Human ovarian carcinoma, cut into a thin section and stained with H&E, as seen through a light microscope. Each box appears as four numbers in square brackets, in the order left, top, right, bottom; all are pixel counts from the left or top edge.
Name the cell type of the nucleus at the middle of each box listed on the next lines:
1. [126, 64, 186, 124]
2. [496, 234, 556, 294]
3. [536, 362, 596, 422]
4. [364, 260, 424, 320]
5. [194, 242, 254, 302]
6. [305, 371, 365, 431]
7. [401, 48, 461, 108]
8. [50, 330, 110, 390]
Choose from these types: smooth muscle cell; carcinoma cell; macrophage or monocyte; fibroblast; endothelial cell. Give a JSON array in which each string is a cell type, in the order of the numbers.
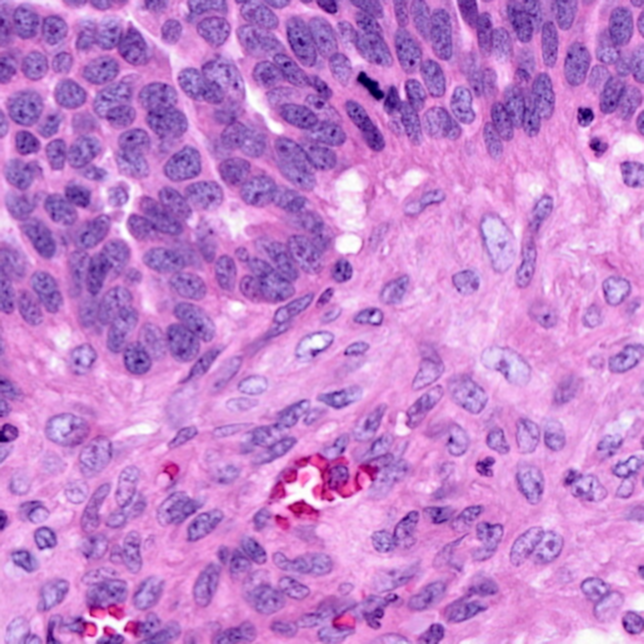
["carcinoma cell", "fibroblast", "fibroblast", "fibroblast", "carcinoma cell", "fibroblast", "carcinoma cell", "fibroblast"]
